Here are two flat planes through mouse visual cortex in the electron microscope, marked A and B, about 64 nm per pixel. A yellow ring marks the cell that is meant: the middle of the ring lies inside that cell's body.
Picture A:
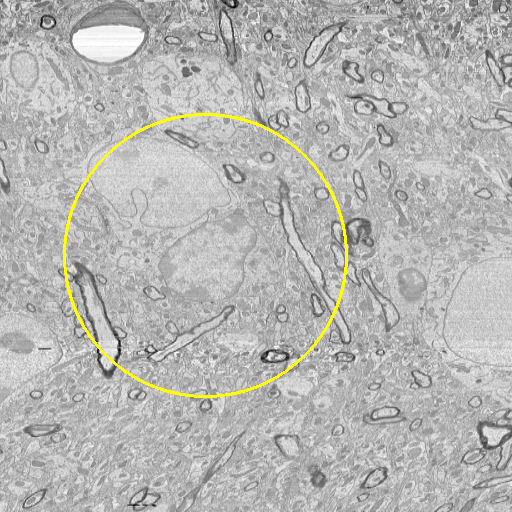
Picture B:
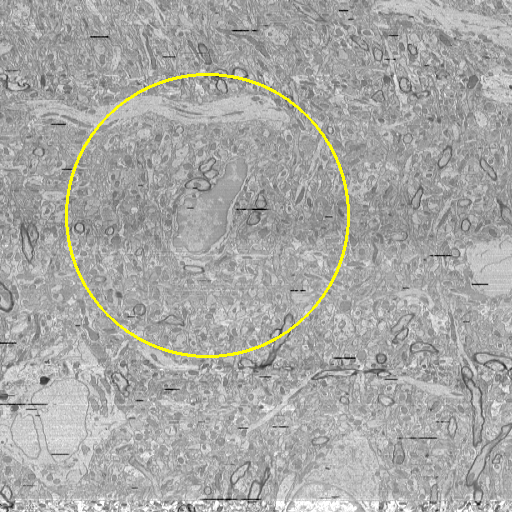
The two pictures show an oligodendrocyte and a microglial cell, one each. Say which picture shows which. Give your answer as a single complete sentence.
It is picture A that shows an oligodendrocyte, and picture B that shows a microglial cell.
